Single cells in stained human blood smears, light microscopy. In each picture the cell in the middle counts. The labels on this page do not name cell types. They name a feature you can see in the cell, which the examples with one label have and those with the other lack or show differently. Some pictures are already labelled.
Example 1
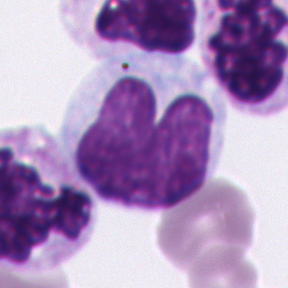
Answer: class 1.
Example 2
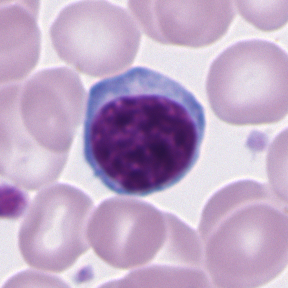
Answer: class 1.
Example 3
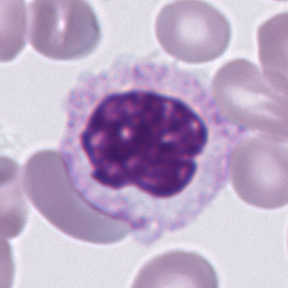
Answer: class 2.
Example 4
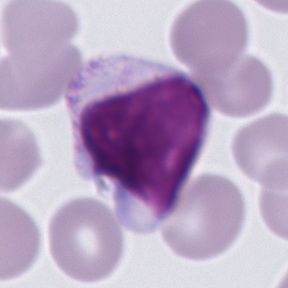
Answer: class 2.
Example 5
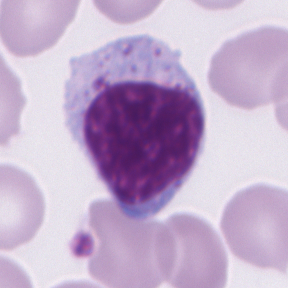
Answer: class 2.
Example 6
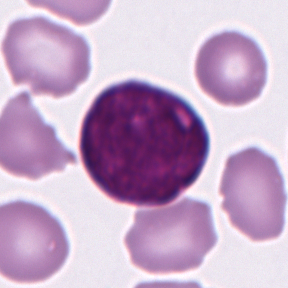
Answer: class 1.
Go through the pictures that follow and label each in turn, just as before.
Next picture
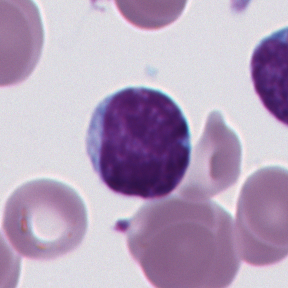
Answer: class 1.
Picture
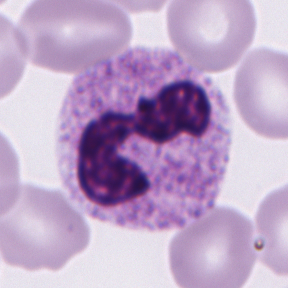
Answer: class 1.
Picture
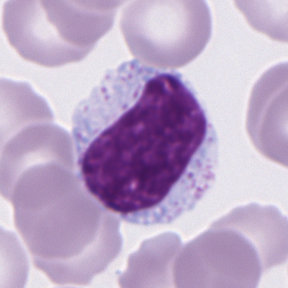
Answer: class 2.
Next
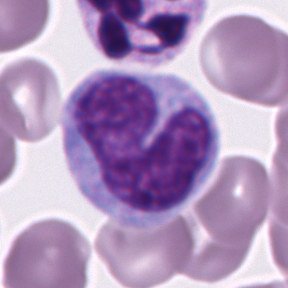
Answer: class 1.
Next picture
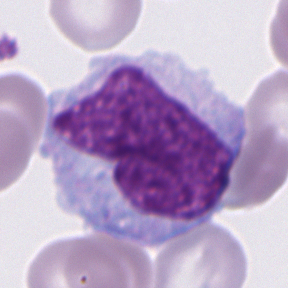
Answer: class 2.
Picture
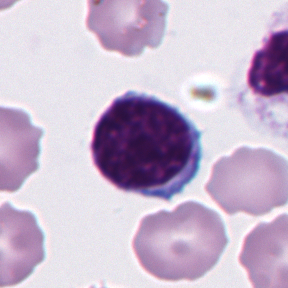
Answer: class 1.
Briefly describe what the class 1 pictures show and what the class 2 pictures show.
class 1: smooth outline; class 2: ragged outline or projections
